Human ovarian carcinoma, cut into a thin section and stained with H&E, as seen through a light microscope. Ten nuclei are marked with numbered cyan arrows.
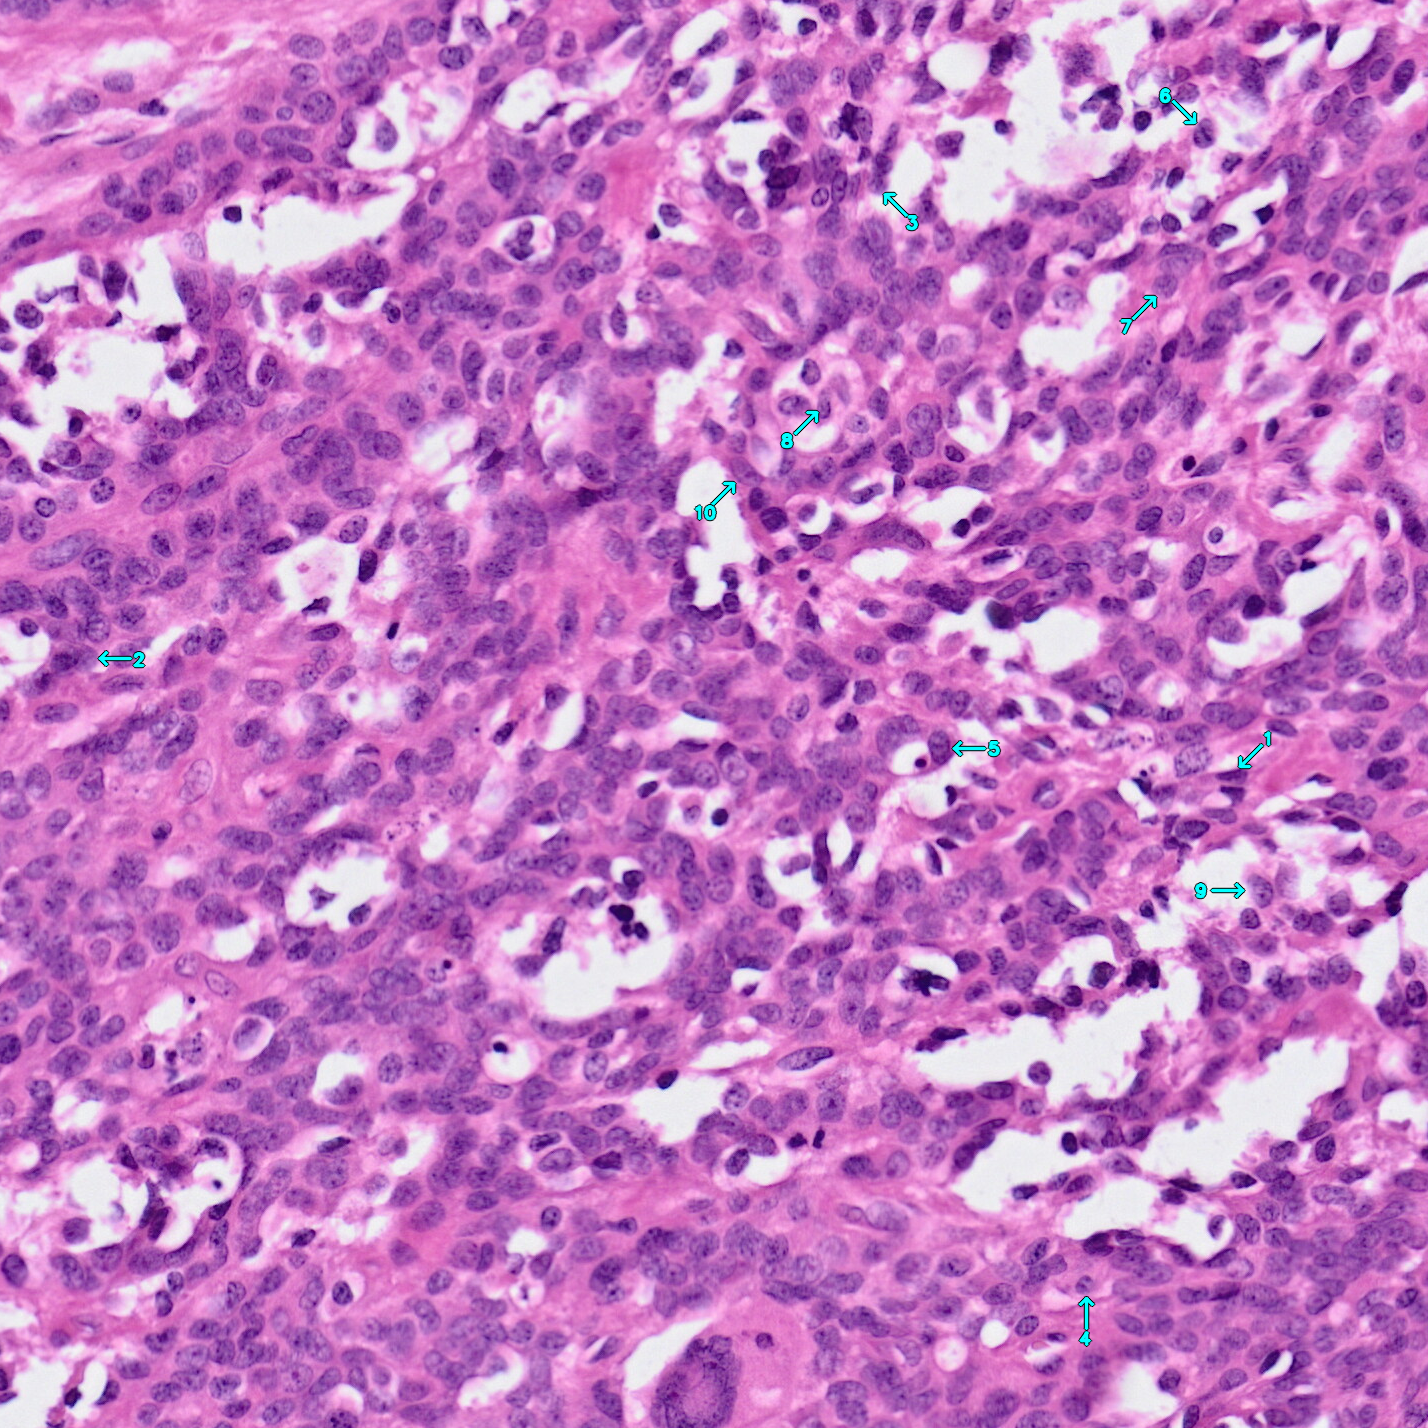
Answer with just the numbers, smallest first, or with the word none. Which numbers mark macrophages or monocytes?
4, 6, 8, 9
